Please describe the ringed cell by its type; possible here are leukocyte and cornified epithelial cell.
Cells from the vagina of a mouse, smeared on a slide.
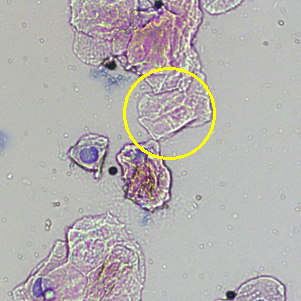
The yellow ring marks a cornified epithelial cell.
